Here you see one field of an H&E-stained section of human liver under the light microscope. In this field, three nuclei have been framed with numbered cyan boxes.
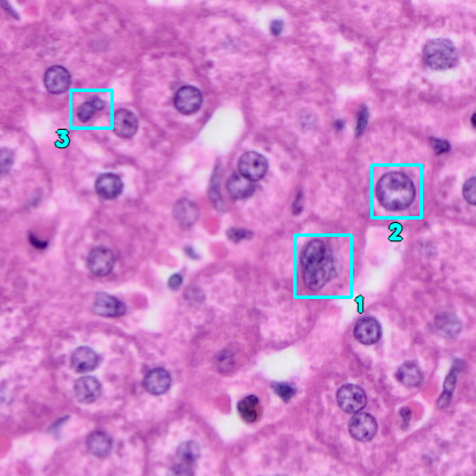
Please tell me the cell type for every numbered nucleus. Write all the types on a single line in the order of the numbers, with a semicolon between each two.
hepatocyte; hepatocyte; fibroblast or stellate cell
